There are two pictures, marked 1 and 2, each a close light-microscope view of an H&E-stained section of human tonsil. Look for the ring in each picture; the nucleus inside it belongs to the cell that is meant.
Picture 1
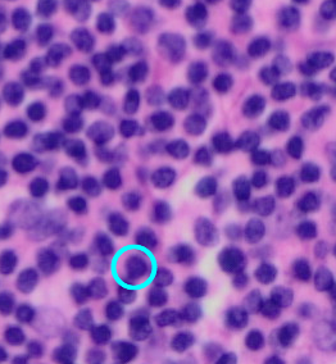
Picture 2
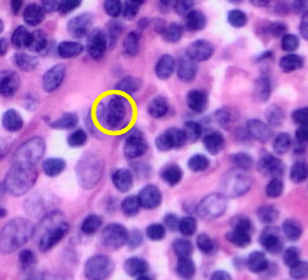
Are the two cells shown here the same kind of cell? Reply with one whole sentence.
No. Picture 1 shows a small lymphocyte, but picture 2 shows an endothelial cell.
